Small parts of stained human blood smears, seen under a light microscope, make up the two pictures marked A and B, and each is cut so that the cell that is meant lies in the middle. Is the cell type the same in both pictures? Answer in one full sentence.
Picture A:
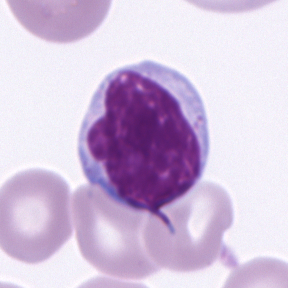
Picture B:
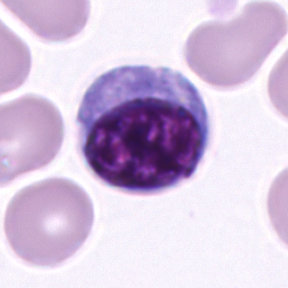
No, picture A shows a typical lymphocyte and picture B shows a plasma cell.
